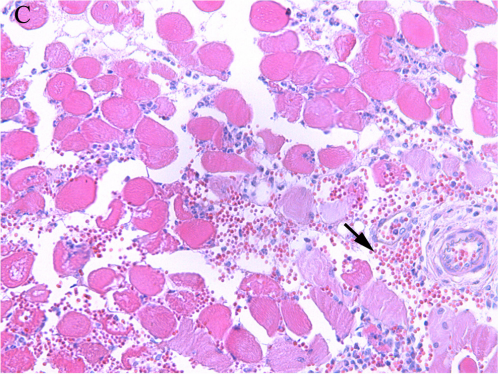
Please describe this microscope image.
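This is skeletal muscle in cross-section, with pink muscle fibres and abundant erythrocytes lying free in the tissue. The fibres are irregular in size and shape, and many are widely separated from one another rather than tightly packed. Some fibres look pale and smudged, while others stain deep pink. Between the fibres lie many small round red erythrocytes, together with scattered cells having blue nuclei, and a cross-sectioned vessel with a thick wall is seen at the right.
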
